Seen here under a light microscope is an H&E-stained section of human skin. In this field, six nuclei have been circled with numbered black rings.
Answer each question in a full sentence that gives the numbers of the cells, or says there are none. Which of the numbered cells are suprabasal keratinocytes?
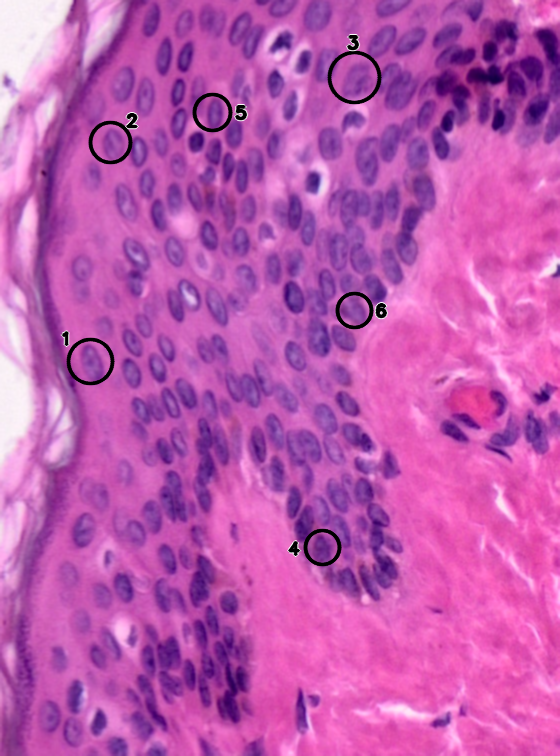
The cells numbered 1, 2 and 3 are of the kind known as suprabasal keratinocytes.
